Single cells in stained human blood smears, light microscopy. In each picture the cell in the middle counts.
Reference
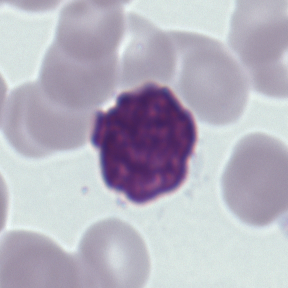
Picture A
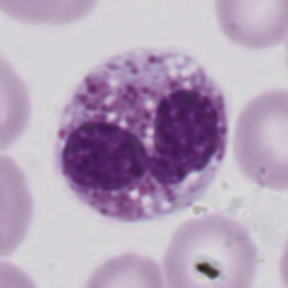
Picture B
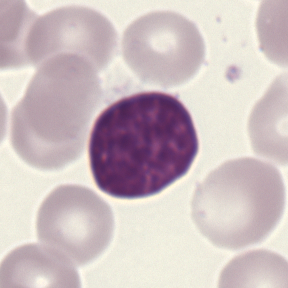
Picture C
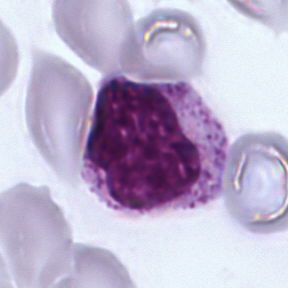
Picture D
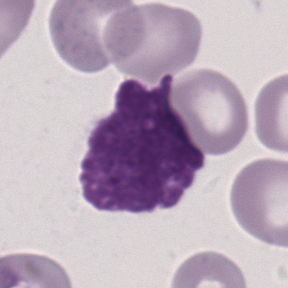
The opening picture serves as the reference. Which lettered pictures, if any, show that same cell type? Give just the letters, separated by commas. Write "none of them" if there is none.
B, D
